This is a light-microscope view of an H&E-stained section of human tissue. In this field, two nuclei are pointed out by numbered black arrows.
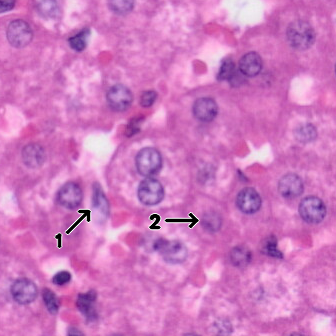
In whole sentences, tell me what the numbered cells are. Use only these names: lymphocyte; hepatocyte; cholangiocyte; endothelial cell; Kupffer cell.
Cell 1 is a Kupffer cell. Cell 2 is a hepatocyte.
